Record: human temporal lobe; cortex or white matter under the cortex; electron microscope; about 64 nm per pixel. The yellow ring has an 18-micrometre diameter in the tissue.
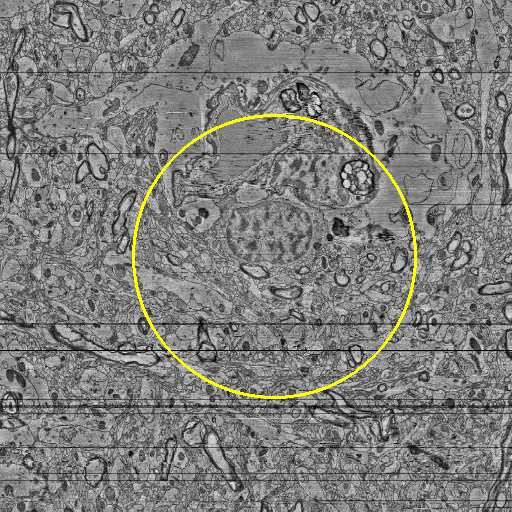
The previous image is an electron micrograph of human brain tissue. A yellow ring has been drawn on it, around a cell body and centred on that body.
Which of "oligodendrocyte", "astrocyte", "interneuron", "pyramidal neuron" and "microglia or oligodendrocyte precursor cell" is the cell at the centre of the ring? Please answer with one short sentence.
The cell body at the centre of the ring belongs to an oligodendrocyte.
